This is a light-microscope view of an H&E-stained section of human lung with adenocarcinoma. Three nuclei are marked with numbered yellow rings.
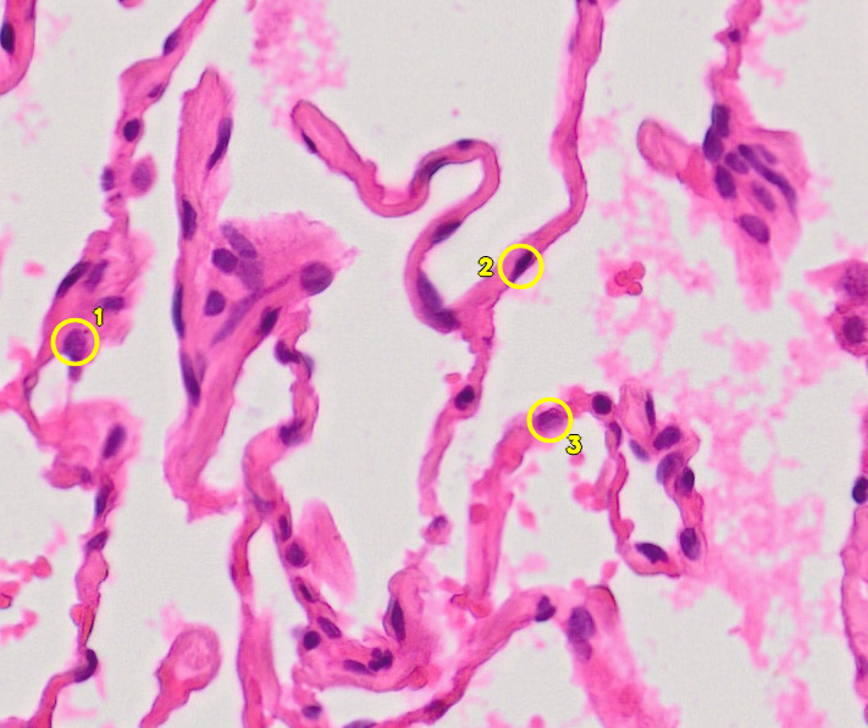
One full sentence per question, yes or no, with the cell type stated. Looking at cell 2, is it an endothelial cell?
Yes, the cell referred to as number 2 is an endothelial cell.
